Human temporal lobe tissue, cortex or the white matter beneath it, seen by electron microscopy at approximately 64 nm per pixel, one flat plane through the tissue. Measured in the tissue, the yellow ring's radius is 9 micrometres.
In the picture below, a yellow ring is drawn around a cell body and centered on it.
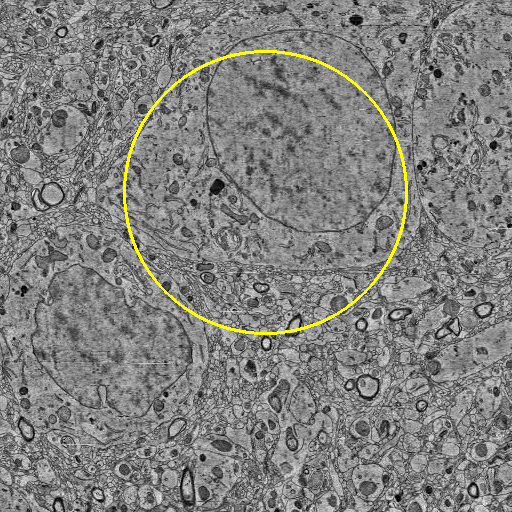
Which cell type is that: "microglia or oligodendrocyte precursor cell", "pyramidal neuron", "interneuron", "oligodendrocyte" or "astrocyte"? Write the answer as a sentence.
The cell centered in the ring is a pyramidal neuron.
